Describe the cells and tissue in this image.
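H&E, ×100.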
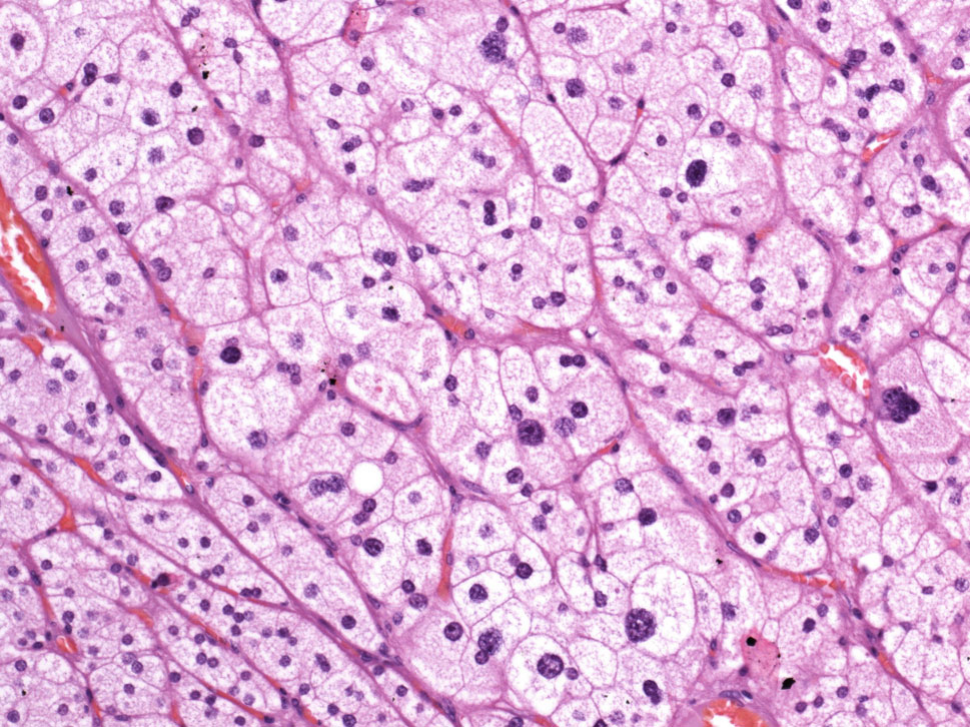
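This is an adrenocortical adenoma made of large polygonal tumour cells with abundant pale, foamy cytoplasm. Each cell is sharply outlined by a thin pink border, so the cells look like a mosaic of clear boxes. The cells are grouped in nests and cords separated by delicate fibrovascular strands, in which thin capillaries with red blood cells run between the groups. Most nuclei are small, round and centrally placed, but scattered cells have much larger, darker nuclei with coarse, clumped chromatin, showing clear variation in nuclear size. Here and there a cell holds two nuclei, and no dividing cells are to be seen.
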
